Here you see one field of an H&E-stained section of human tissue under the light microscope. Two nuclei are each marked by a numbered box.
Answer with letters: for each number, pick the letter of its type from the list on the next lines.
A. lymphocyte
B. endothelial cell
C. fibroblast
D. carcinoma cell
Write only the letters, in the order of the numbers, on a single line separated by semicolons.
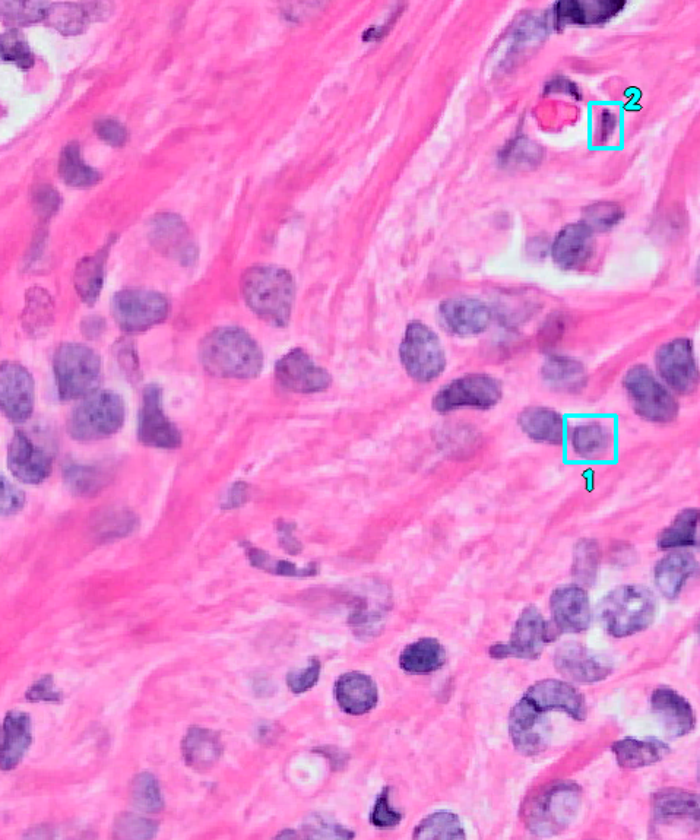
D; B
